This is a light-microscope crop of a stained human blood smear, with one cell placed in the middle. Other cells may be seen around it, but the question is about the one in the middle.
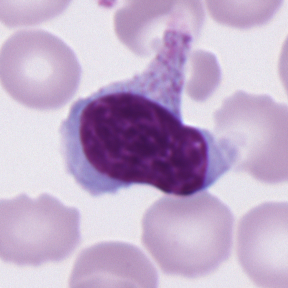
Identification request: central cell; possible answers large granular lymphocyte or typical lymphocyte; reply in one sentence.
Standing at the centre of this crop is a large granular lymphocyte.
